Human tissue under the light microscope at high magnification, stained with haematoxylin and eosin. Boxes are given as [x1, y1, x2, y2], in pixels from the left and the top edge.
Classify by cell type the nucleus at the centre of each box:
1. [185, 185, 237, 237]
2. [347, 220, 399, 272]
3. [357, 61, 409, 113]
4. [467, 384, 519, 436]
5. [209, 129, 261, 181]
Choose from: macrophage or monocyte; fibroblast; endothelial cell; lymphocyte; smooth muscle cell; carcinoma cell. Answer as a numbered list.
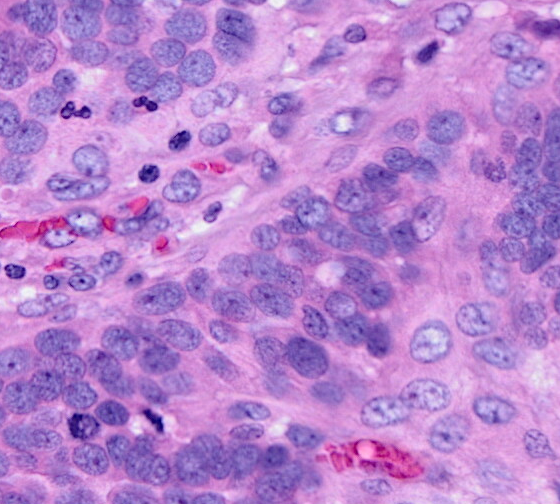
1. lymphocyte
2. carcinoma cell
3. fibroblast
4. fibroblast
5. endothelial cell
